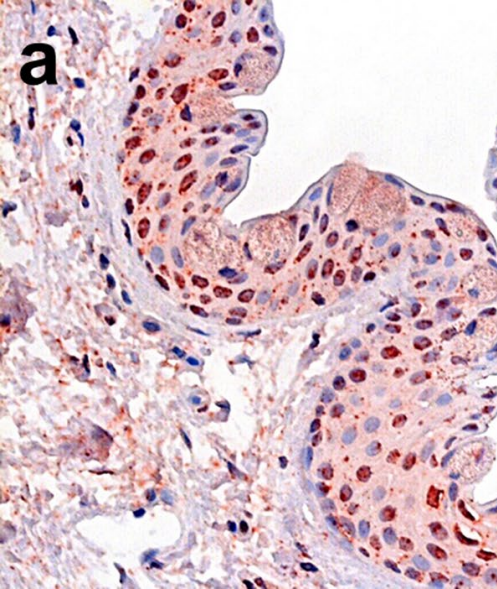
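This is the folded, multilayered surface epithelium of the conjunctiva, resting on loose connective tissue. Many epithelial nuclei are stained a strong red, while others remain blue, so the two kinds of nuclei are mixed throughout the layers. Near the free surface lie large, round goblet cells with pale, finely granular cytoplasm that is only faintly pink. The cytoplasm of the ordinary epithelial cells shows a faint red haze with small red granules. Beneath the epithelium, the loose stroma contains scattered small, dark nuclei and pale fibres.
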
